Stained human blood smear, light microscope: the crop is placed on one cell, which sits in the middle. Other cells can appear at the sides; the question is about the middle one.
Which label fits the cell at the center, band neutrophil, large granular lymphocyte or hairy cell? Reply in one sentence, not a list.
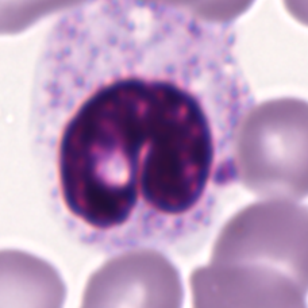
Located at the centre of the crop is a band neutrophil.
